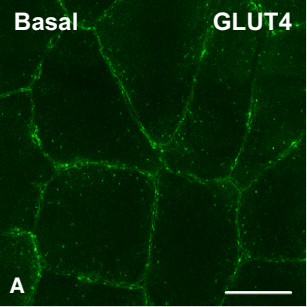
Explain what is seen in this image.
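This is a cross-section through skeletal muscle, showing the fibers cut across as large polygonal profiles packed closely against one another. Each fiber is outlined by a thin, bright green line running along its border, and along these borders small brighter green dots are strung out here and there. The interiors of the fibers are broad and only faintly green, with a scattering of tiny green specks. Where three fibers meet, the borders join at angles, giving the field a mosaic look.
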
